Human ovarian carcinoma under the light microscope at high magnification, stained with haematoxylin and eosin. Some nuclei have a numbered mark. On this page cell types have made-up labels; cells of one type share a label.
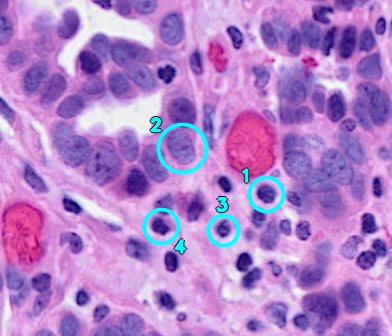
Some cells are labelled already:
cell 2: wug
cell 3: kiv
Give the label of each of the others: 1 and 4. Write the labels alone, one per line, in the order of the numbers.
kiv
kiv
